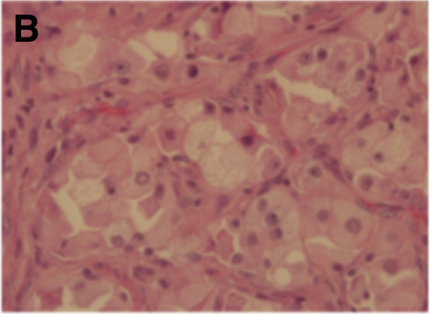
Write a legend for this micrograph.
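High-power view of a tumor made of large, pleomorphic clear tumor cells with abundant pale, foamy cytoplasm. The cells vary in size and shape and carry round to oval purple nuclei, some with visible nucleoli, and they are grouped in nests separated by thin pink fibrous septa.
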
